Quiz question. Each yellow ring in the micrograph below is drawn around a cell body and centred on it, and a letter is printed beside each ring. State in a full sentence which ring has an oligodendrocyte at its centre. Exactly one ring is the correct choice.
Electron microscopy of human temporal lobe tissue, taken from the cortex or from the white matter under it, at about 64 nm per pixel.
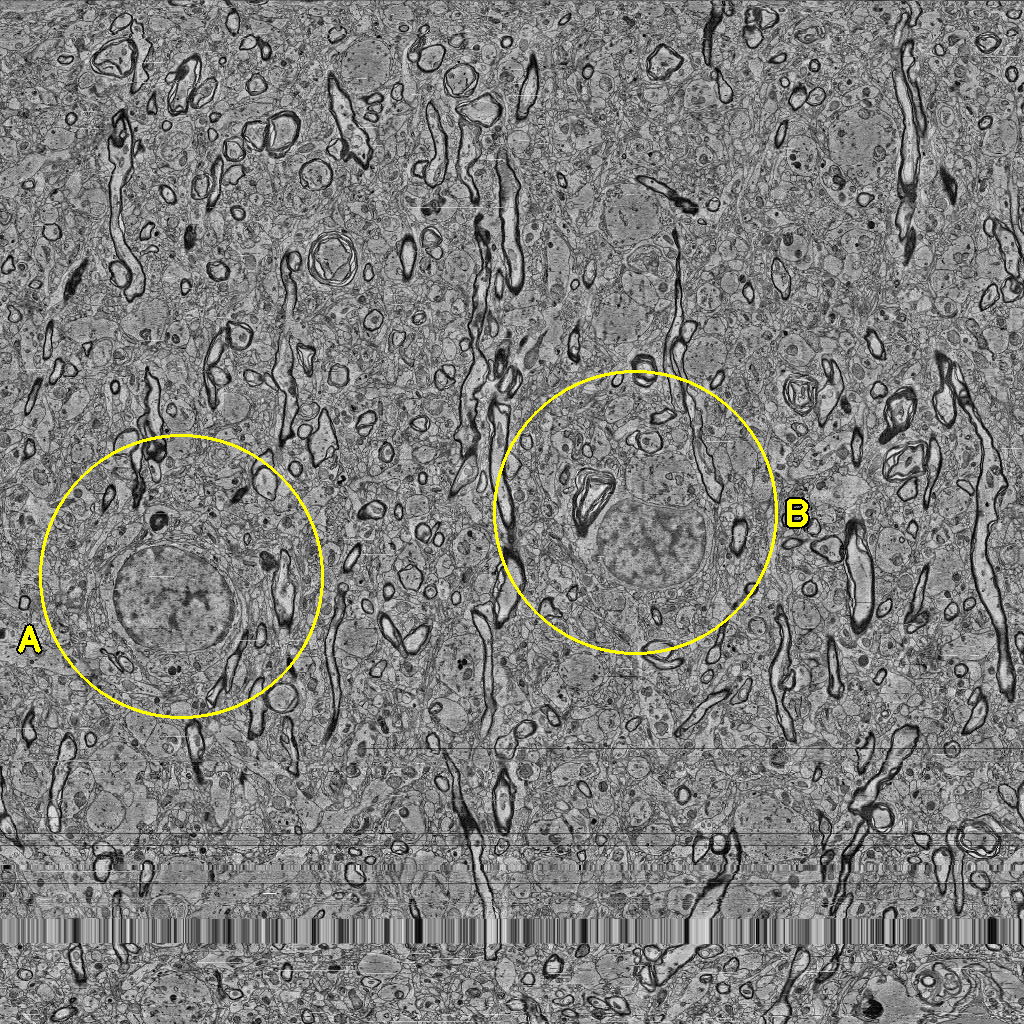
The correct ring is ring B.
